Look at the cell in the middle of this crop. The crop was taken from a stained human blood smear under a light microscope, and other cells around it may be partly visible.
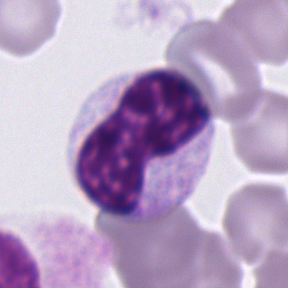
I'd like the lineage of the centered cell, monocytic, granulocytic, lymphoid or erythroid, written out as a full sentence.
The cell in the middle belongs to the granulocytic lineage.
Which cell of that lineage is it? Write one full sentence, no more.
Of the cells in this crop, the central one is a band neutrophil.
